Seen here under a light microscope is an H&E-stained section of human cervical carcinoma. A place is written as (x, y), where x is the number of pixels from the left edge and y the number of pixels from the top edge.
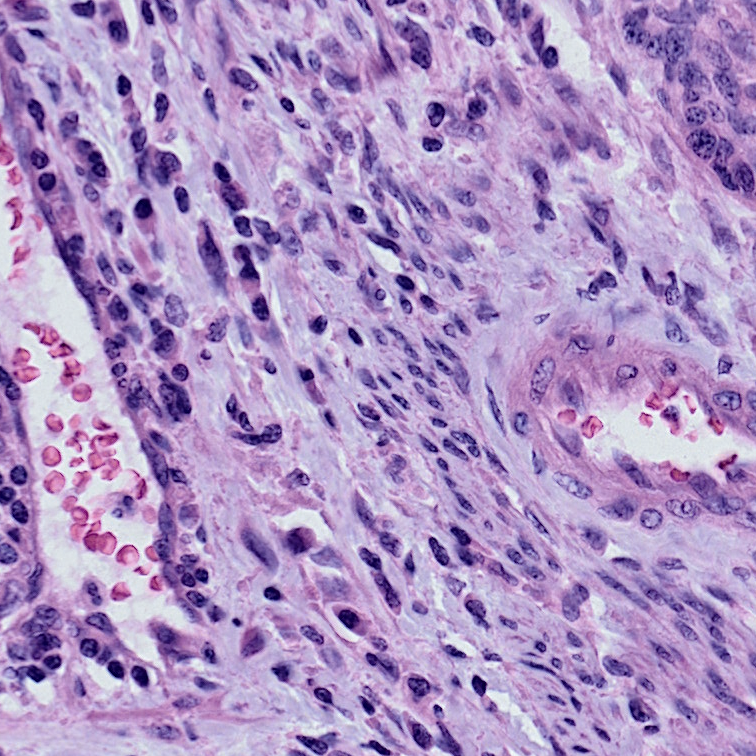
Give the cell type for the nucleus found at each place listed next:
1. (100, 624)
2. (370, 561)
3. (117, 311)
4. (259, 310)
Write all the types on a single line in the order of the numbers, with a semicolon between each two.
endothelial cell; lymphocyte; lymphocyte; lymphocyte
